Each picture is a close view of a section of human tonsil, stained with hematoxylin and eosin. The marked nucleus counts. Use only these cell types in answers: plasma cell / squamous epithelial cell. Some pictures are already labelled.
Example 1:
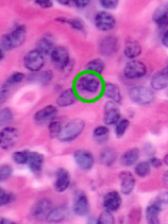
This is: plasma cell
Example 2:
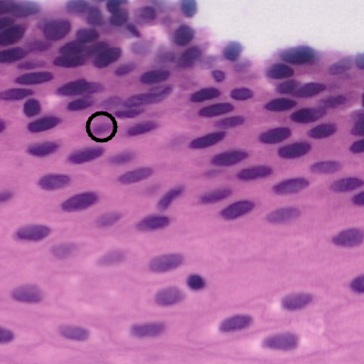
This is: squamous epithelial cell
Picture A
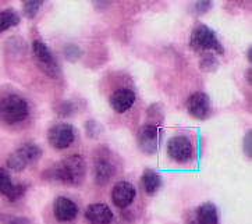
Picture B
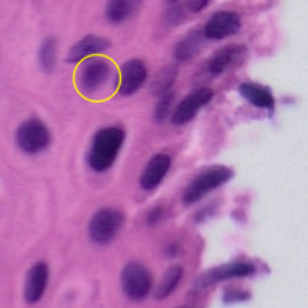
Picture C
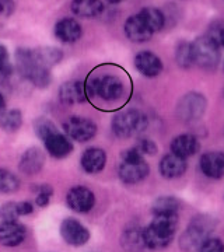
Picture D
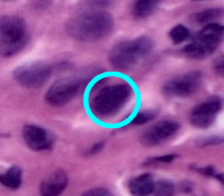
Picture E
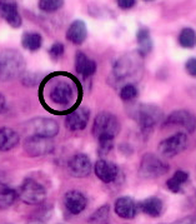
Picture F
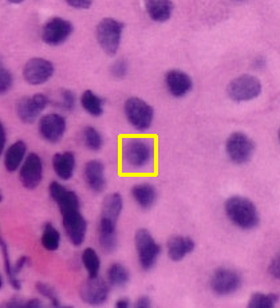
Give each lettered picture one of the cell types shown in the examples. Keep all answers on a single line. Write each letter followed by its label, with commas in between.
A plasma cell, B squamous epithelial cell, C plasma cell, D squamous epithelial cell, E plasma cell, F squamous epithelial cell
